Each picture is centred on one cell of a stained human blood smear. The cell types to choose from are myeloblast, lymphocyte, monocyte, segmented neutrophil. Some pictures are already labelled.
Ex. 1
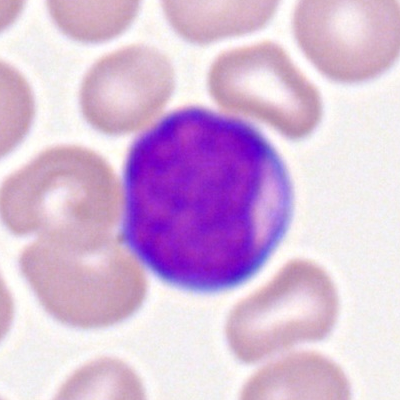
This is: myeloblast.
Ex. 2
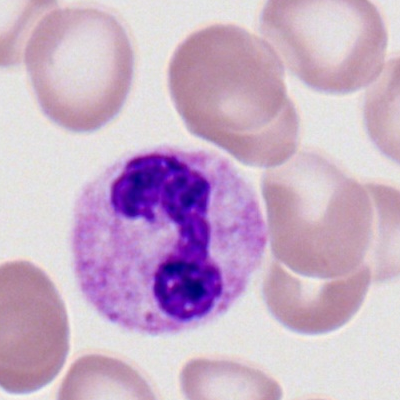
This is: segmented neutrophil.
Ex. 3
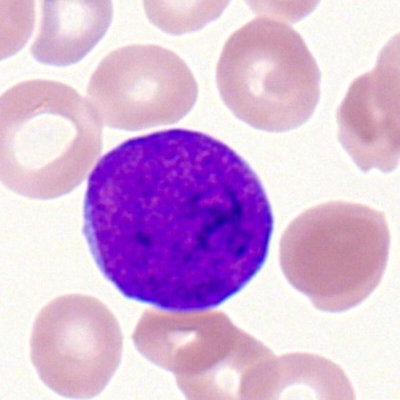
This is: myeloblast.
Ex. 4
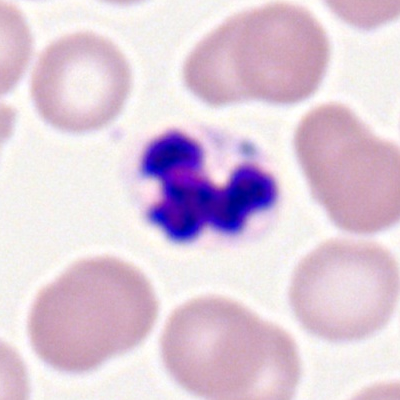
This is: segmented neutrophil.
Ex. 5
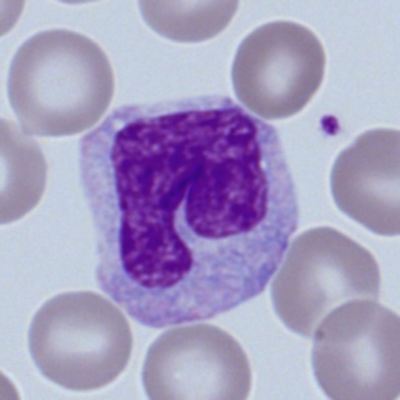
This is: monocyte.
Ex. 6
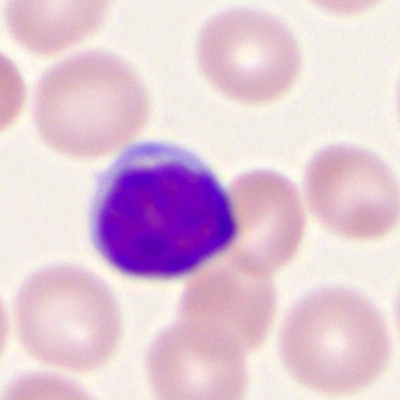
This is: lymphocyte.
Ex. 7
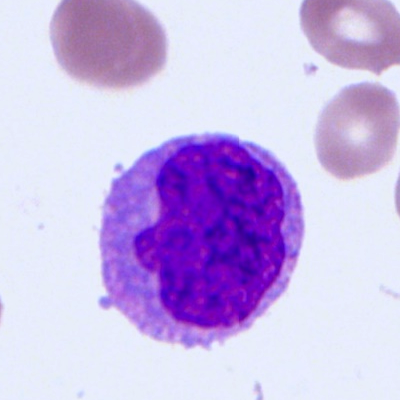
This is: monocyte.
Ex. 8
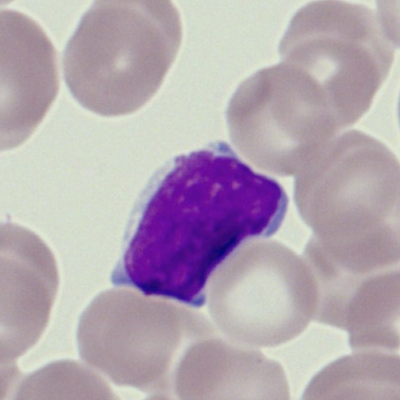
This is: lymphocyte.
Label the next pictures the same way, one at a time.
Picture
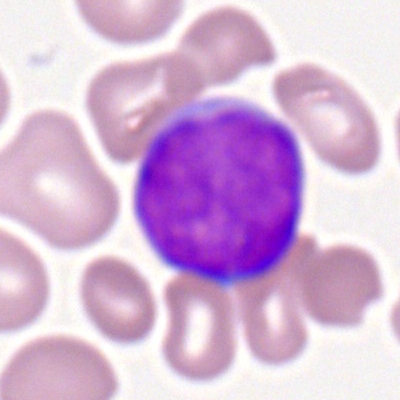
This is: myeloblast.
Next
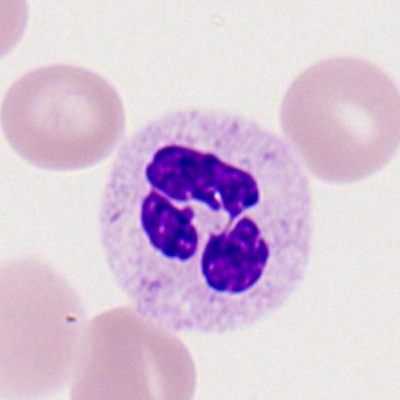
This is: segmented neutrophil.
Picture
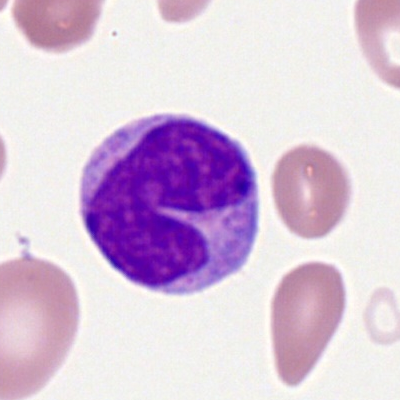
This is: monocyte.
